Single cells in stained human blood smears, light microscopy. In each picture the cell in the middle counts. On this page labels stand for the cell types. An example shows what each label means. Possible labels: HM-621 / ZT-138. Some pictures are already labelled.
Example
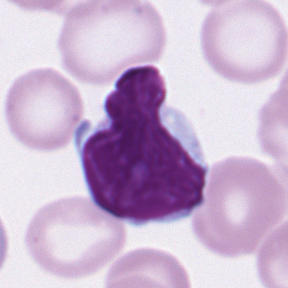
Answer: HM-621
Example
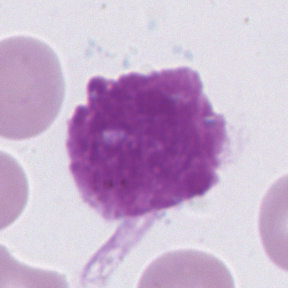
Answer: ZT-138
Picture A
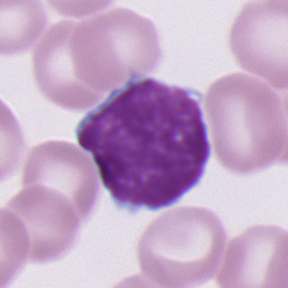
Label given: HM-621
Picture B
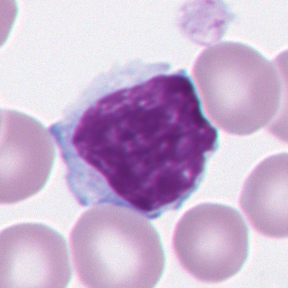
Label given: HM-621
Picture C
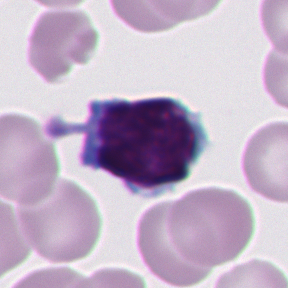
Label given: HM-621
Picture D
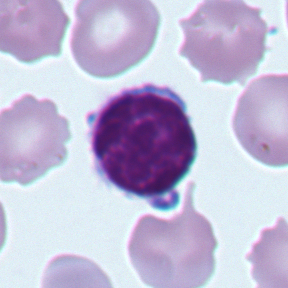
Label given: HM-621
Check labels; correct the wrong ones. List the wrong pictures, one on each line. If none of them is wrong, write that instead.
No label is wrong.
